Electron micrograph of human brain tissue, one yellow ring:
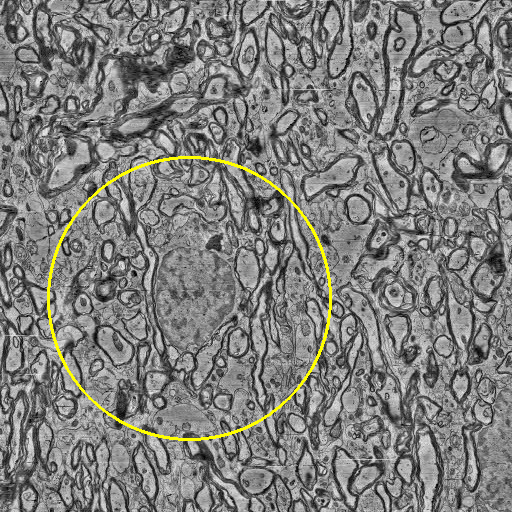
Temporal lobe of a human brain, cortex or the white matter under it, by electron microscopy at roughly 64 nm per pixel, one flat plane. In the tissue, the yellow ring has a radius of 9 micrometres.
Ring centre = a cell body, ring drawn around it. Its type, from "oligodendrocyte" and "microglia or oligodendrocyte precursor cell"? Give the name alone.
oligodendrocyte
